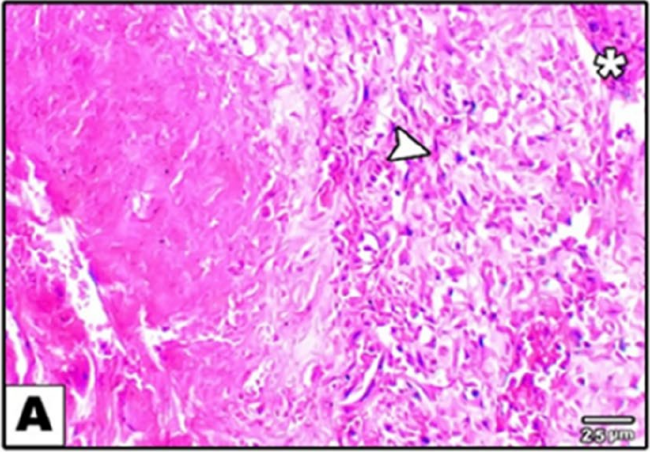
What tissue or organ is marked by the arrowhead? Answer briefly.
Granulation tissue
